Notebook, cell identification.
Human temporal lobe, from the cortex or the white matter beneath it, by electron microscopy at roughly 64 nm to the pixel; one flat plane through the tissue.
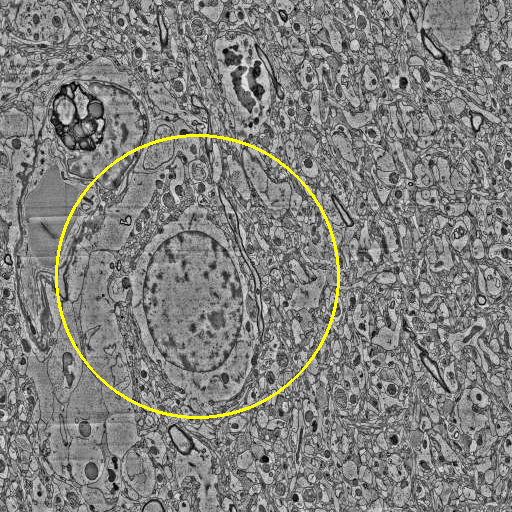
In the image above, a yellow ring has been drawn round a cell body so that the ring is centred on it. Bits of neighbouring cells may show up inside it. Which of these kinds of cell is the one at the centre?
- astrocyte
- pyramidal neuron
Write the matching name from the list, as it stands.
astrocyte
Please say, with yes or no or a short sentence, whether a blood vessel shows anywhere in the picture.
Yes.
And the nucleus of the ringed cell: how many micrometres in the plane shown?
About 9 by 6 micrometers, in this plane.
